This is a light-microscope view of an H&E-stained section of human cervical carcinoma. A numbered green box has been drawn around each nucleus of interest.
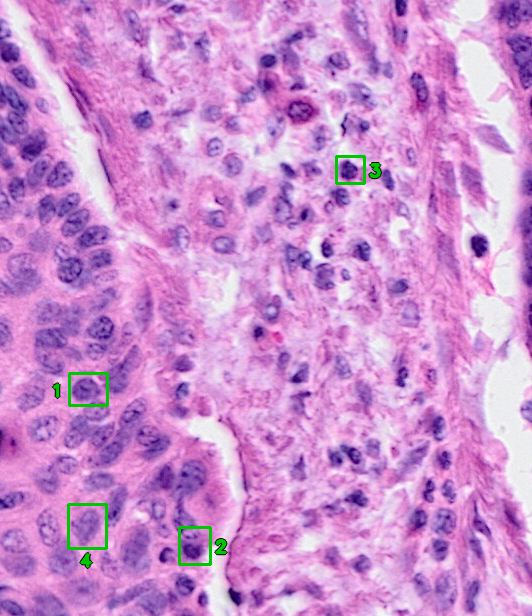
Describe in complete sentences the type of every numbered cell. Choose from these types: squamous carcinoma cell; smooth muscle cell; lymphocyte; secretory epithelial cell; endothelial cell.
Cells 1, 2 and 4 are squamous carcinoma cells. Cell 3 is a lymphocyte.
